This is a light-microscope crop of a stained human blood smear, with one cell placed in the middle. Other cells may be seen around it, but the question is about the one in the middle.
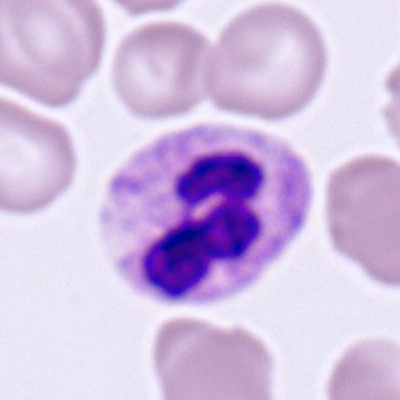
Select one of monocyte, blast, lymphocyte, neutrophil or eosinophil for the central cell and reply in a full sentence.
This crop's central cell is a neutrophil.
